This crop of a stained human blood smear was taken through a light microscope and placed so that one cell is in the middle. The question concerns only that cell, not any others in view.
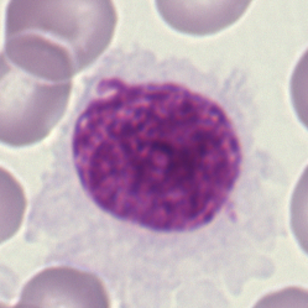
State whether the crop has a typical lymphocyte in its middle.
no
